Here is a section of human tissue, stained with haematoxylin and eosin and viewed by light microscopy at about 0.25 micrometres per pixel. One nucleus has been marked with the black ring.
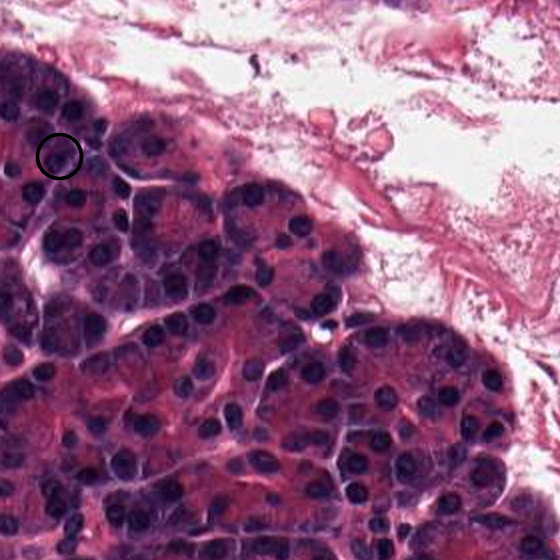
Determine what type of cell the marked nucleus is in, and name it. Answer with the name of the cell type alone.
pancreatic acinar cell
